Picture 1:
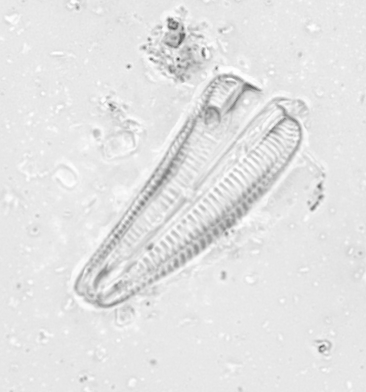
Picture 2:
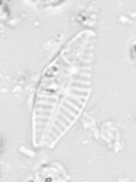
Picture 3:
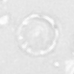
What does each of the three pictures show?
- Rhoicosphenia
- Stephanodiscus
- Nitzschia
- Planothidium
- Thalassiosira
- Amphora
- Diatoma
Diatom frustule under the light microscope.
1: Rhoicosphenia
2: Planothidium
3: Thalassiosira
